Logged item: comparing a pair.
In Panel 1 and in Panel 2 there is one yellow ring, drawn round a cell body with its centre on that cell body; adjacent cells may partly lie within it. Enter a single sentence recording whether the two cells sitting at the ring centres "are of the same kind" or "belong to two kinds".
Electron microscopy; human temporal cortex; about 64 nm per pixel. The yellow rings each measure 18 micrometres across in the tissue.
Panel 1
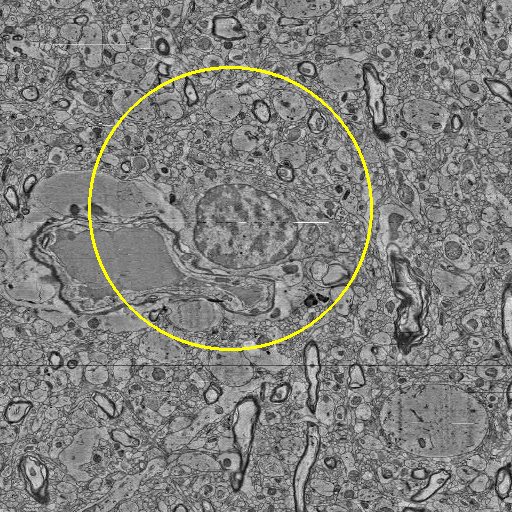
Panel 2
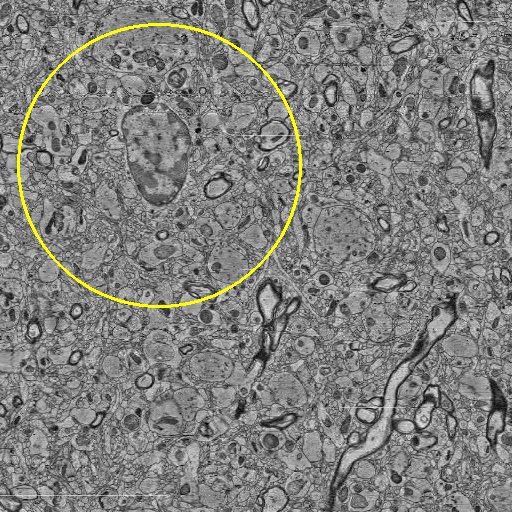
Logged: the cells centred in the rings of Panel 1 and Panel 2 belong to two kinds.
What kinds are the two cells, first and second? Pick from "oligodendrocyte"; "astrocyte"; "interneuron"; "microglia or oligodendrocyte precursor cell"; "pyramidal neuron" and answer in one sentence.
The second picture holds a microglial cell or oligodendrocyte precursor cell in its ring, and the first holds an oligodendrocyte.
